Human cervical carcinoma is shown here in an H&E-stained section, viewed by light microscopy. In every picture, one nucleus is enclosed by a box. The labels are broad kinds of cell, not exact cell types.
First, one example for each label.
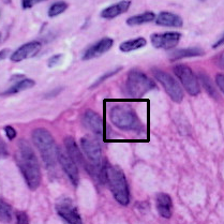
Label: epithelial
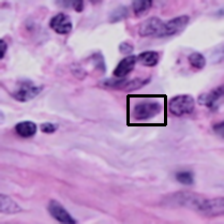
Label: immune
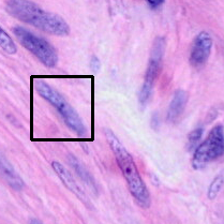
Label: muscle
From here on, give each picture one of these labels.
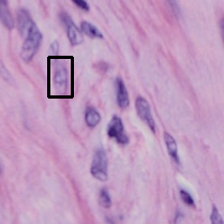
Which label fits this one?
muscle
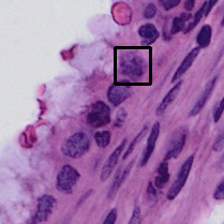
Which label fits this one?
epithelial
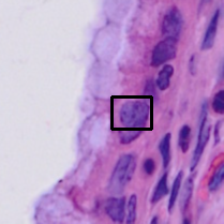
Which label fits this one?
epithelial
